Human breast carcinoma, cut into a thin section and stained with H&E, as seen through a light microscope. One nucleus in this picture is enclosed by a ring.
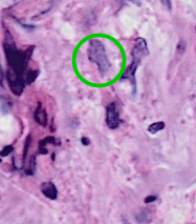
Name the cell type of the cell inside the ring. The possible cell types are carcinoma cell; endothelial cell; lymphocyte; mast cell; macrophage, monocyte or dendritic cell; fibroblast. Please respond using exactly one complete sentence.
The cell type of the cell inside the ring is that of a macrophage, monocyte or dendritic cell.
